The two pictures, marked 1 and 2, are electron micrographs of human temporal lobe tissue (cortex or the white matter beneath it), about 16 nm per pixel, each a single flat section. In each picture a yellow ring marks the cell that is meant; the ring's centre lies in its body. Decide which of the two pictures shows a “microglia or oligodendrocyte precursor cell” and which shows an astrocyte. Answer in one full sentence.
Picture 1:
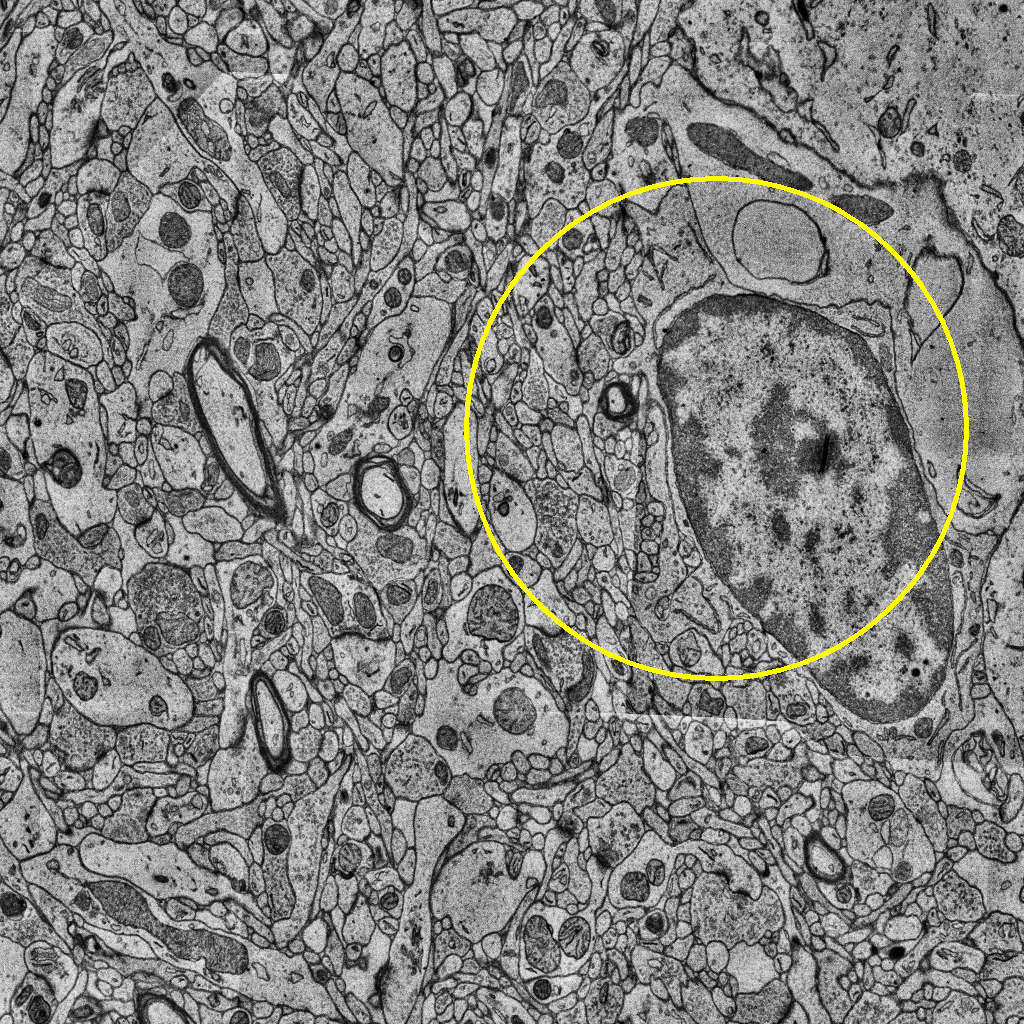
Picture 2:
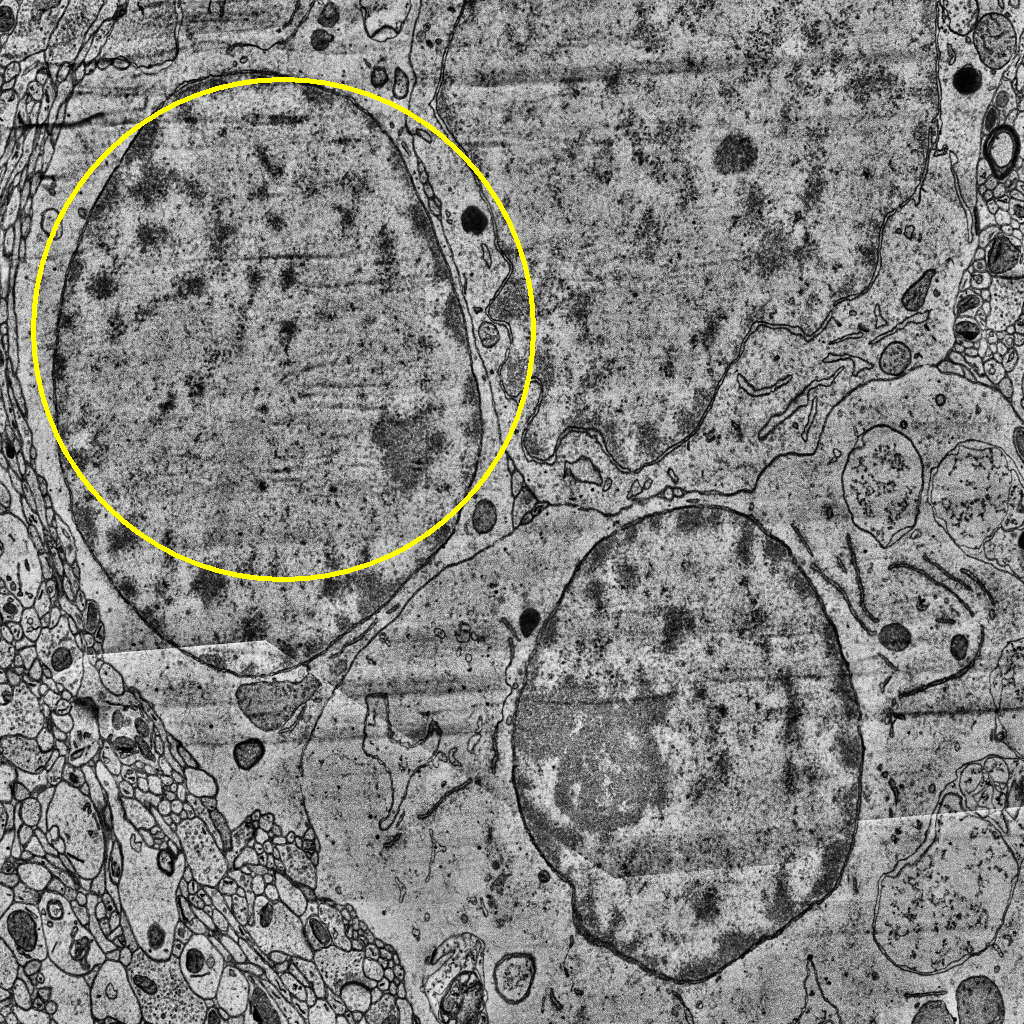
In picture 1 the cell is a “microglia or oligodendrocyte precursor cell”; in picture 2, an astrocyte.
